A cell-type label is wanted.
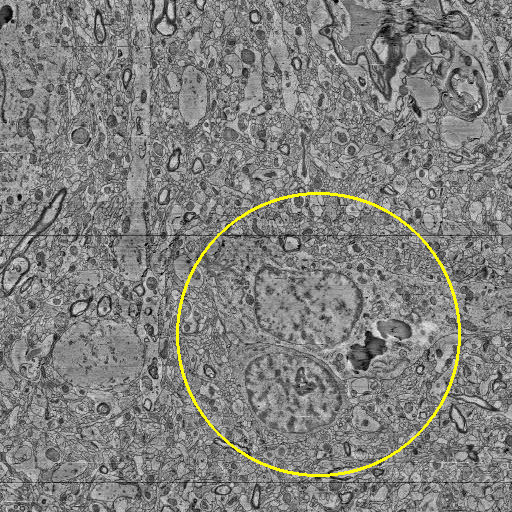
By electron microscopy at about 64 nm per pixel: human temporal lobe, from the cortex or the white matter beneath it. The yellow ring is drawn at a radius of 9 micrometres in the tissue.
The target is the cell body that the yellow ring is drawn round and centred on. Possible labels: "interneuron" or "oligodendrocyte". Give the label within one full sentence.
Of the labels offered, the cell in the middle of the yellow ring is an interneuron.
